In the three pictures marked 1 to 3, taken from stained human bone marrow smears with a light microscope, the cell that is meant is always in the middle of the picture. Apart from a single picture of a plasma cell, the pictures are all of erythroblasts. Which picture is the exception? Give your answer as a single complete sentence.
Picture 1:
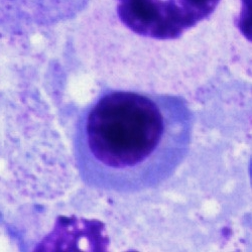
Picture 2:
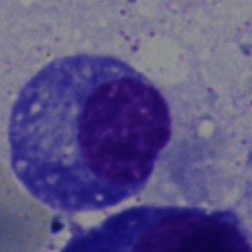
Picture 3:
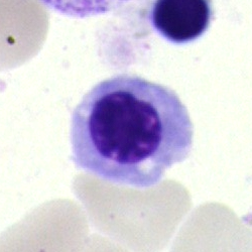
Picture 2 is the one that shows the plasma cell.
